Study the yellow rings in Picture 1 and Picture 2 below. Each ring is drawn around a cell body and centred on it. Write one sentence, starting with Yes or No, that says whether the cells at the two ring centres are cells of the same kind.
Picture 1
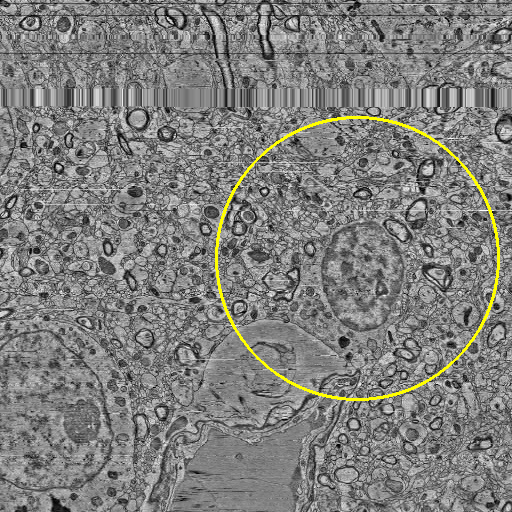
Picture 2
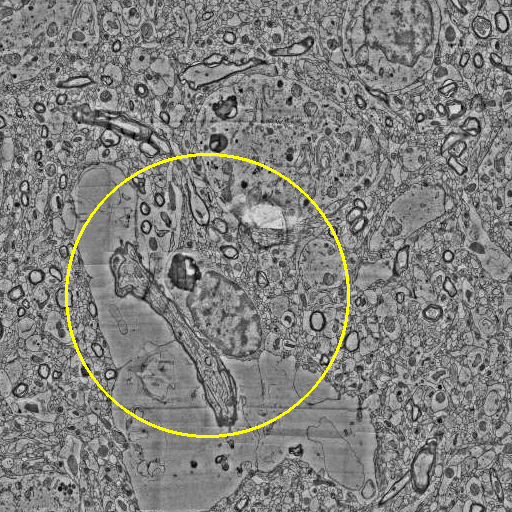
Yes, the cells at both ring centres are of the same kind.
